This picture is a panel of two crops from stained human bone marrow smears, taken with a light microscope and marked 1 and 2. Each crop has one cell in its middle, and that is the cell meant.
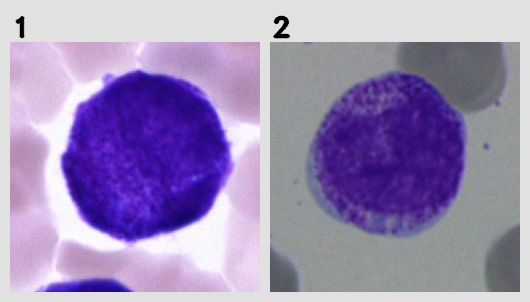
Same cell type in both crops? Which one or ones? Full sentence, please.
No, crop 1 should be called a blast, and crop 2 should be called a myelocyte.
